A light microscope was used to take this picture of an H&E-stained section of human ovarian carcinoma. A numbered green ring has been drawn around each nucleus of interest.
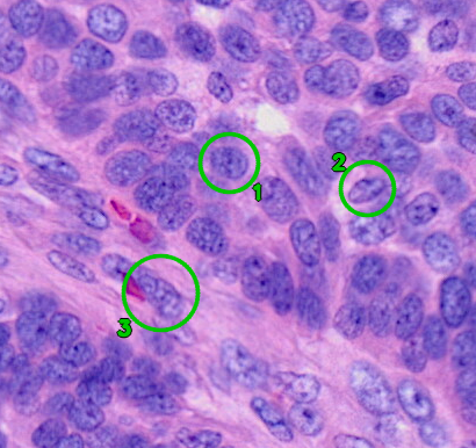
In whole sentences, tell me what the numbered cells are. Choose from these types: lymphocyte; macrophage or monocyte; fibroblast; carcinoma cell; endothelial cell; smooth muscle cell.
Cell 1 is a carcinoma cell, cell 2 is a macrophage or monocyte and cell 3 is an endothelial cell.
